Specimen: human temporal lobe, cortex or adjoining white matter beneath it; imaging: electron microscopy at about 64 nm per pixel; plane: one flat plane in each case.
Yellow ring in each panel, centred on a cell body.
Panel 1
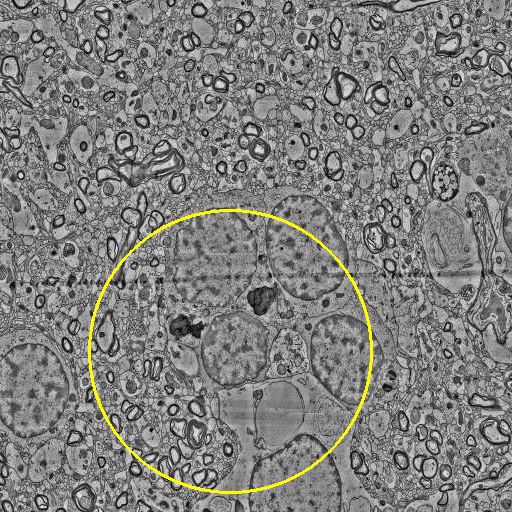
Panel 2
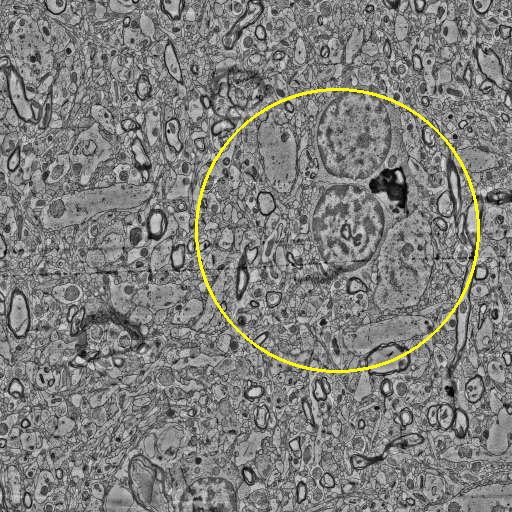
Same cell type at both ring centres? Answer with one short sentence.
Yes, both cells are of the same type.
